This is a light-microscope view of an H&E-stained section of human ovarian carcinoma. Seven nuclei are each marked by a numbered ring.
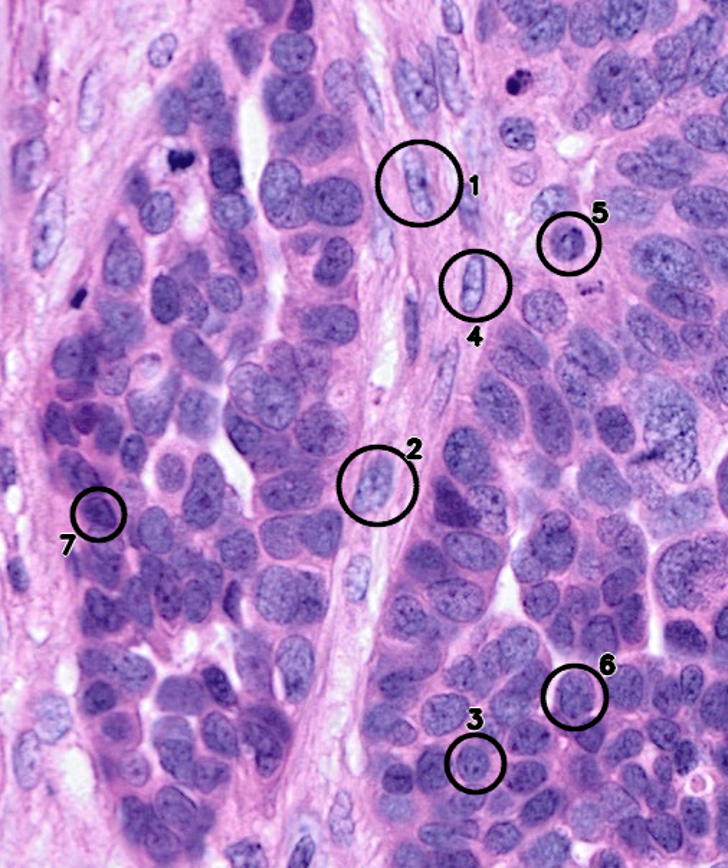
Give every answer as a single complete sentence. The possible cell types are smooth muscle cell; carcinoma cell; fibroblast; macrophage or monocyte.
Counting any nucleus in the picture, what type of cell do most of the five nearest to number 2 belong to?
Carcinoma cells make up most of the five nuclei closest to number 2.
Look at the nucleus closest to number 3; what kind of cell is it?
The nucleus nearest to number 3 is that of a carcinoma cell.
